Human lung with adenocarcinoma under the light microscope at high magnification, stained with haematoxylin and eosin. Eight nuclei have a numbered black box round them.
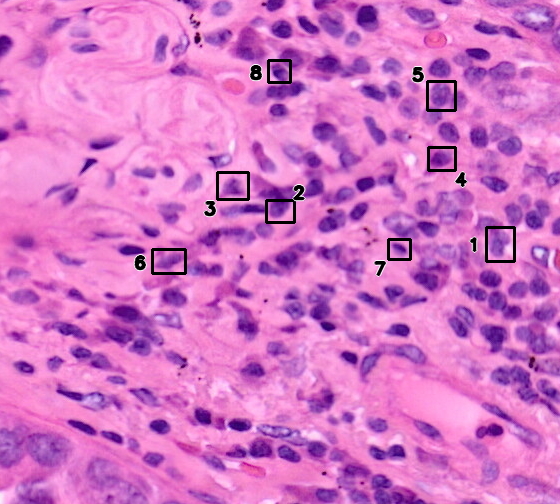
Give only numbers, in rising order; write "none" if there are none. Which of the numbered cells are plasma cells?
3, 4, 6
